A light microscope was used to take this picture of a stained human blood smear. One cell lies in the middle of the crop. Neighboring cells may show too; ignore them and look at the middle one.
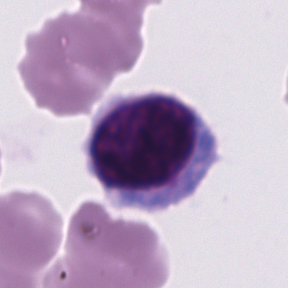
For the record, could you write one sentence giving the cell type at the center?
Standing at the centre of this crop is a hairy cell.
